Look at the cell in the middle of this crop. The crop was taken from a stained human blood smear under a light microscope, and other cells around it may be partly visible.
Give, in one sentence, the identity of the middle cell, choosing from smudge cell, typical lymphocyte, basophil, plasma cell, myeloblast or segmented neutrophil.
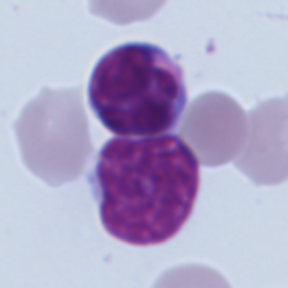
Standing at the centre of this crop is a myeloblast.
